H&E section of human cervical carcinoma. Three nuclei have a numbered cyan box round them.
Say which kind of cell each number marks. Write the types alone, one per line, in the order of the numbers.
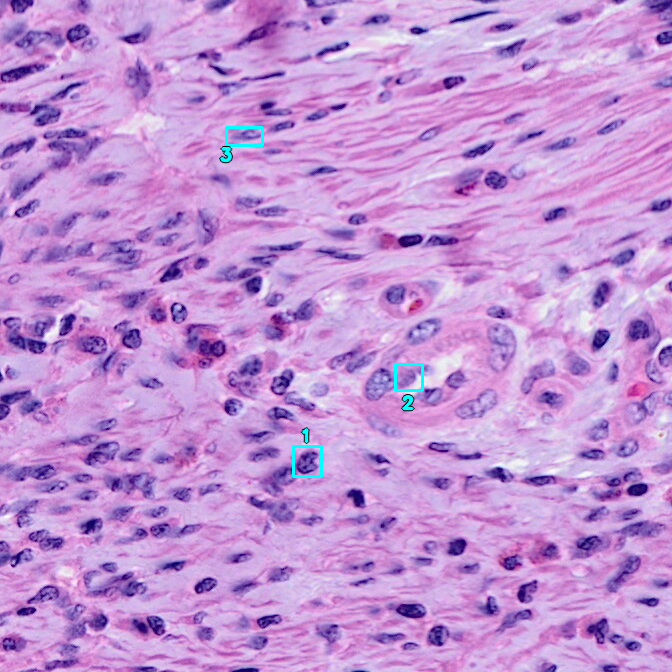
lymphocyte
endothelial cell
smooth muscle cell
